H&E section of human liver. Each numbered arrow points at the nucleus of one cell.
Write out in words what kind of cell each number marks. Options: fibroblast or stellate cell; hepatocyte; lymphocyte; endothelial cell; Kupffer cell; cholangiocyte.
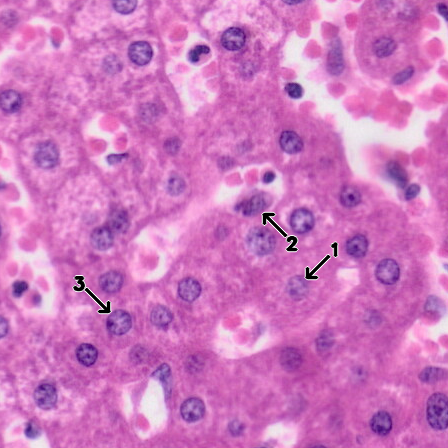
Cells 1 and 3 are hepatocytes. Cell 2 is a Kupffer cell.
